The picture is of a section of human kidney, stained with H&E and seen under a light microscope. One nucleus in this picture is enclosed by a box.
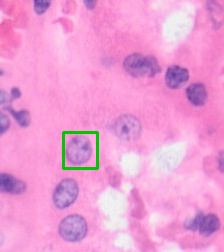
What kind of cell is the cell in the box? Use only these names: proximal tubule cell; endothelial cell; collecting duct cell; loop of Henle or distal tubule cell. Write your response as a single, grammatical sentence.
Among the cells in this section, the cell in the box is a proximal tubule cell.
